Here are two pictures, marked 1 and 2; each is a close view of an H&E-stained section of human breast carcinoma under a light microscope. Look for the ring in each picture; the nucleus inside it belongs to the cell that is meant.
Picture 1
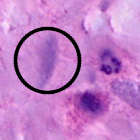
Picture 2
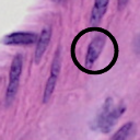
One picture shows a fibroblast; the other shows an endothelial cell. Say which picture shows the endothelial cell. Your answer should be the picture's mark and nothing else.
2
